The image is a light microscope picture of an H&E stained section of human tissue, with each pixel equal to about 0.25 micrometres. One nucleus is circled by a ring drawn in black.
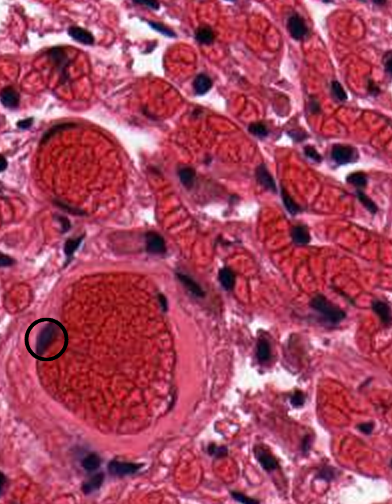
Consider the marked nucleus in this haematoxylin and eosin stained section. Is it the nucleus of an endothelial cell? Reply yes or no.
yes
